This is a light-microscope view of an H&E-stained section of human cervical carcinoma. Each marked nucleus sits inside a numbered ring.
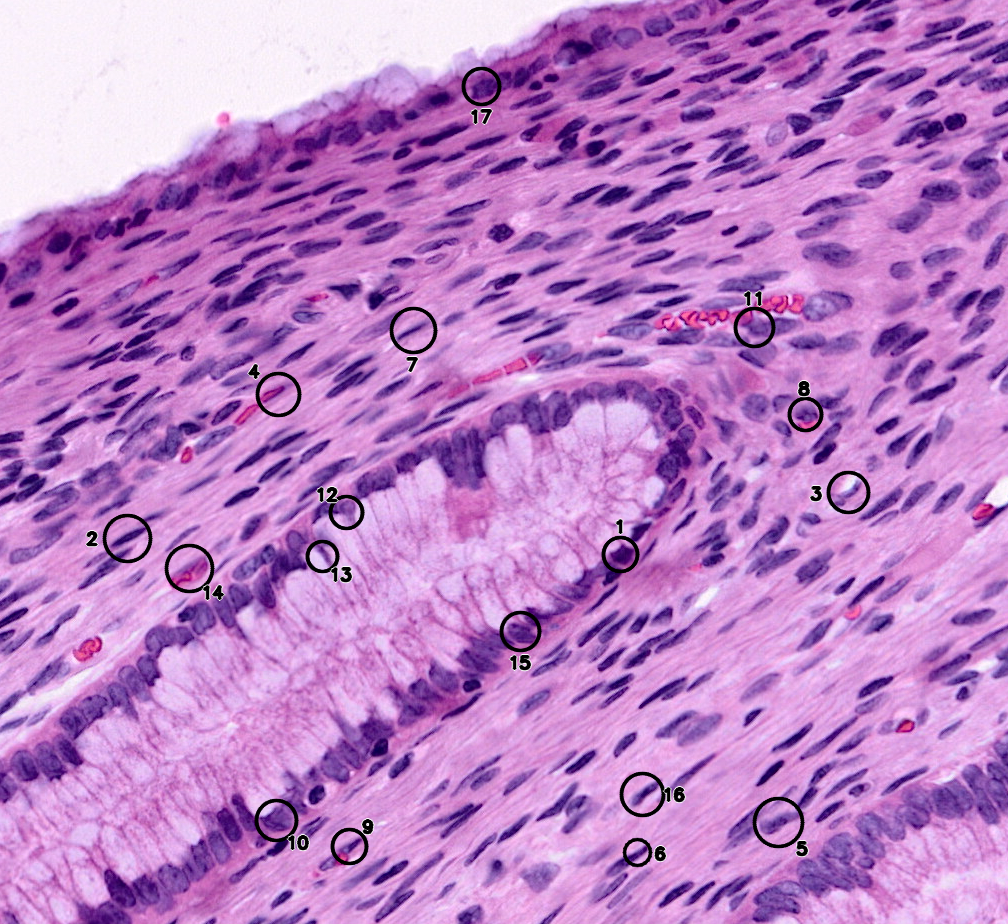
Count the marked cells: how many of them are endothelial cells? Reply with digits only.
6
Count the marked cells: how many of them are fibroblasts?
5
